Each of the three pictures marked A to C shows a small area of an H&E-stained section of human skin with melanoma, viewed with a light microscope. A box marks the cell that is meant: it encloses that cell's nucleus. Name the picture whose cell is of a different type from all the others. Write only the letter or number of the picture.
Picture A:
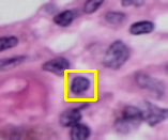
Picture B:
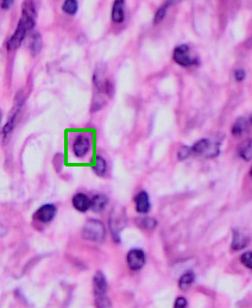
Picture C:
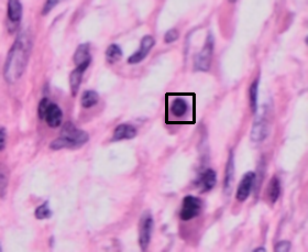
A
